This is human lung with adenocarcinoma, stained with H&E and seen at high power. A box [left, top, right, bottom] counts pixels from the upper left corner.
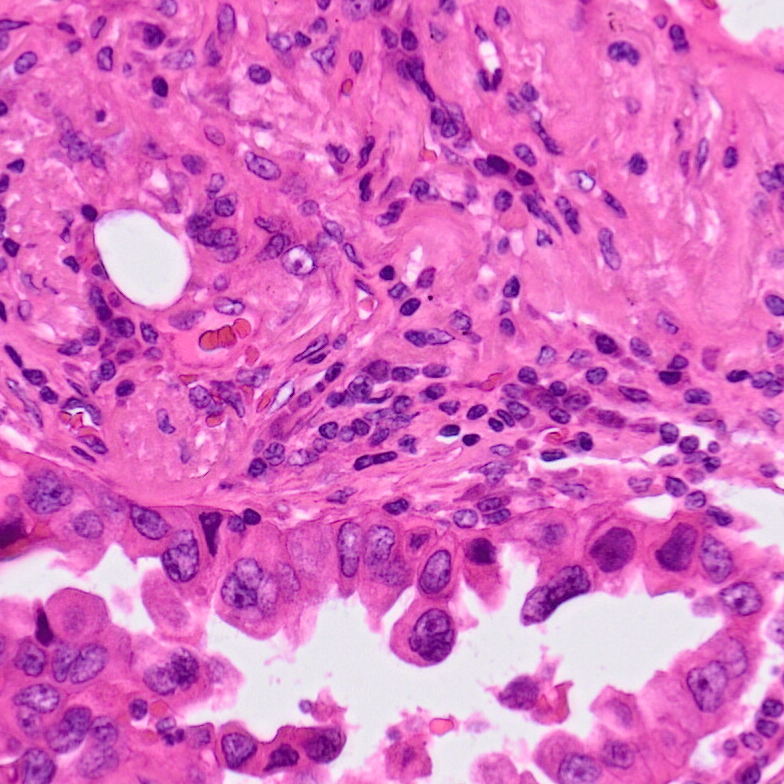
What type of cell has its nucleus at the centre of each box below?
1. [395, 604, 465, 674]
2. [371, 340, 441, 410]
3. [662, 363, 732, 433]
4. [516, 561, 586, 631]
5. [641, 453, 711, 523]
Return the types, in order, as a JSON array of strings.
["carcinoma cell", "lymphocyte", "lymphocyte", "carcinoma cell", "lymphocyte"]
